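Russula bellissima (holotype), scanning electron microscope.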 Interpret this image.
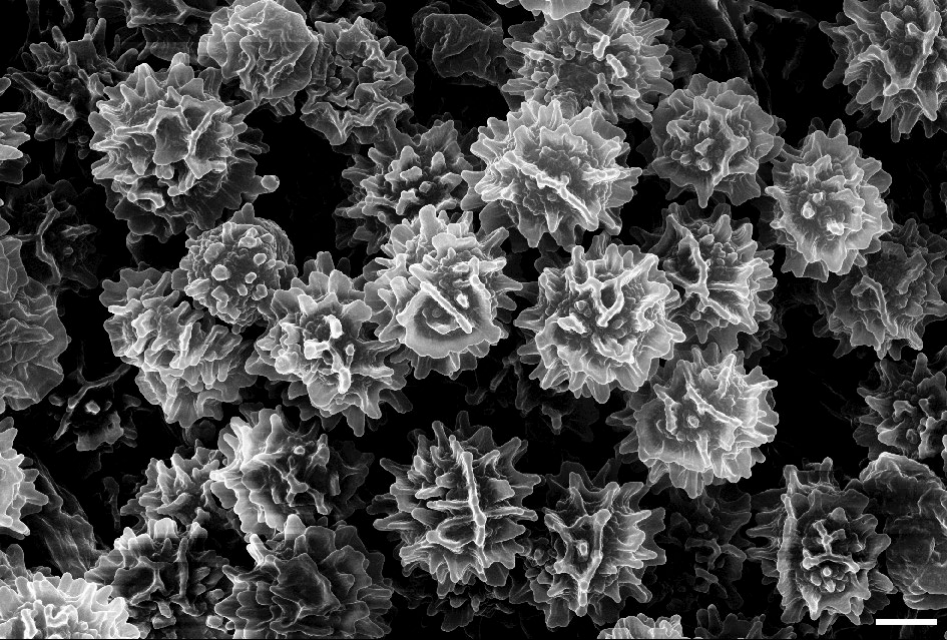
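These are fungal spores seen in surface relief, each a roughly globose body crowded among its neighbours. Their walls carry prominent conical warts and spines, many of which are linked by short, irregular ridges and crests. The ridges do not form a complete network over the surface.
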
